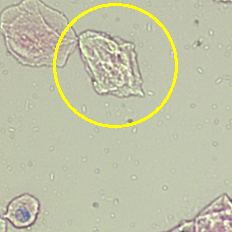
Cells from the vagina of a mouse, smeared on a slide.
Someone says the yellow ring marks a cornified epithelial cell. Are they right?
They are right: it is a cornified epithelial cell.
